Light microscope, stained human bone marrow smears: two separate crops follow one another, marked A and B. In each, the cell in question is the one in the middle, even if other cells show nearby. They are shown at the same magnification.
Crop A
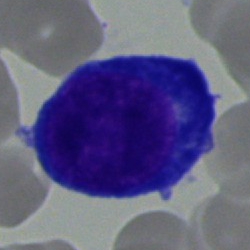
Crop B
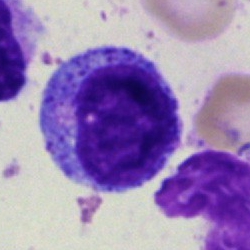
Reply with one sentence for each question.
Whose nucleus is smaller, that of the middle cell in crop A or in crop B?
Smaller is the nucleus in crop B, and the other is about 1.5 times as large in area.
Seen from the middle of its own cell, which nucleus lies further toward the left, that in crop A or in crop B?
It is the nucleus in crop A that lies further toward the left of its cell.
